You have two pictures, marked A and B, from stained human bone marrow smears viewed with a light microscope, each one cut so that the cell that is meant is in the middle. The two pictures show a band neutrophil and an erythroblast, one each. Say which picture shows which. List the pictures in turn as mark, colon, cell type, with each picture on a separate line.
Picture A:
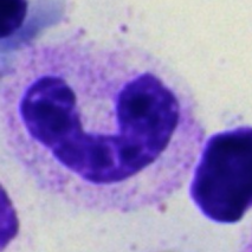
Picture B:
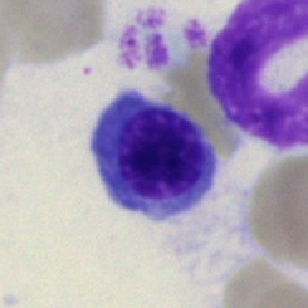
A: band neutrophil
B: erythroblast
